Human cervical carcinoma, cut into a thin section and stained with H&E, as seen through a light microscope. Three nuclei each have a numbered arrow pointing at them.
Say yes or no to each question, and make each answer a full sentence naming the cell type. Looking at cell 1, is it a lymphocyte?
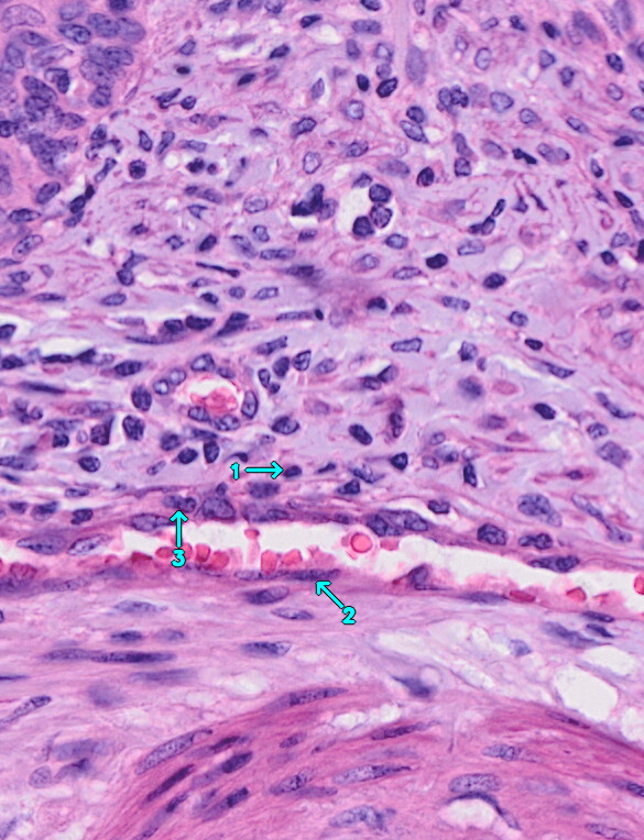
Yes, the cell sitting at number 1 is a lymphocyte.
